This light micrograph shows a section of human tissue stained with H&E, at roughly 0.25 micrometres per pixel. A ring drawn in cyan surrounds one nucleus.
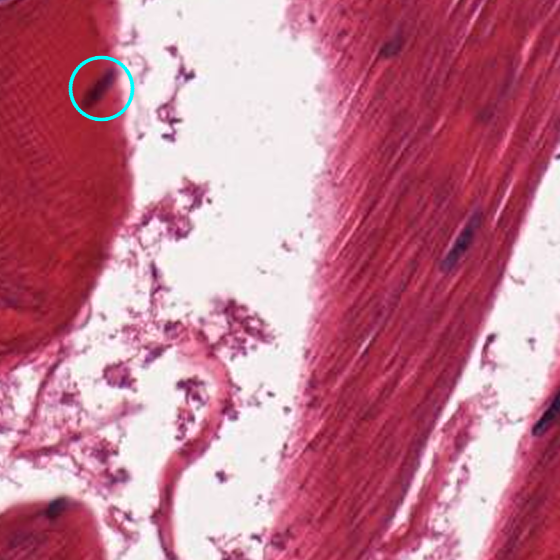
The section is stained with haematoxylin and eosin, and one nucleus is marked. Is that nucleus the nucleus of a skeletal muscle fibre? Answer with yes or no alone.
yes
